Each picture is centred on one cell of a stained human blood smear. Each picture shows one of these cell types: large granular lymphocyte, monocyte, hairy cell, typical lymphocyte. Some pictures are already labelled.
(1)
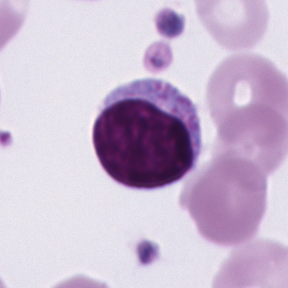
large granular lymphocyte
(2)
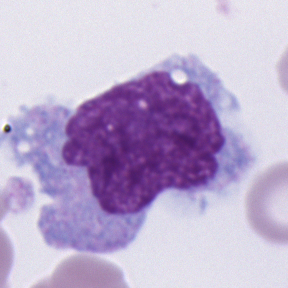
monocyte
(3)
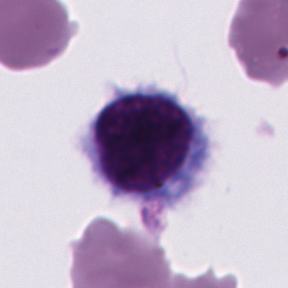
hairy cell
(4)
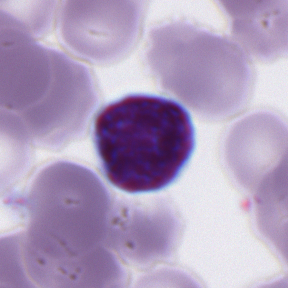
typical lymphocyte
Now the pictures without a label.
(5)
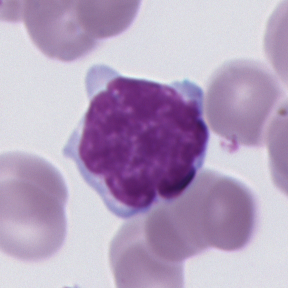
large granular lymphocyte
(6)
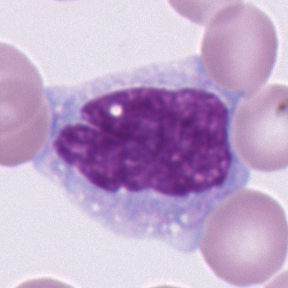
monocyte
